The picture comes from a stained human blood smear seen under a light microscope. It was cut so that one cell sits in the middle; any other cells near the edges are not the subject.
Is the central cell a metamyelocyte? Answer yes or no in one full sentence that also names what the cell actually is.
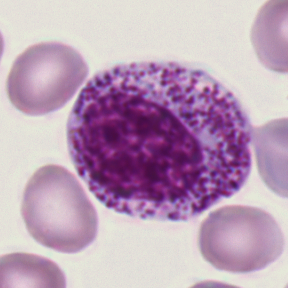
No, the cell centered in the crop is a myelocyte, not a metamyelocyte.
